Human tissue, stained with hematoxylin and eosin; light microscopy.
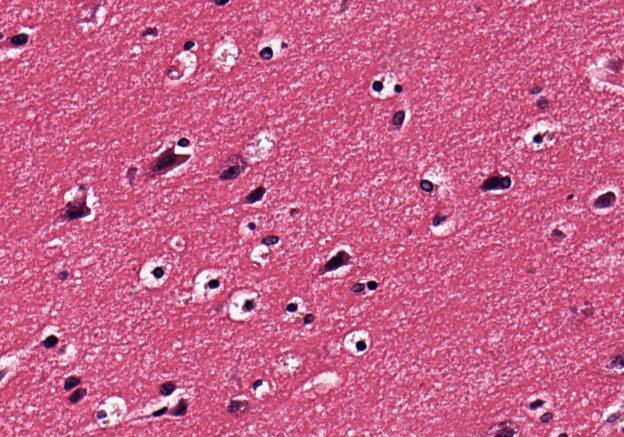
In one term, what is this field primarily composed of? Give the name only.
cerebral cortex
